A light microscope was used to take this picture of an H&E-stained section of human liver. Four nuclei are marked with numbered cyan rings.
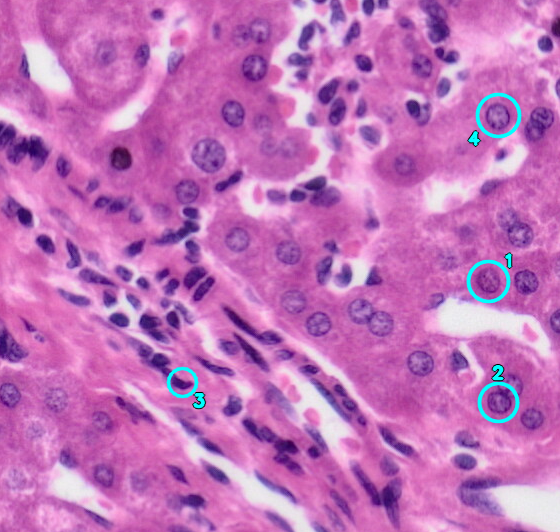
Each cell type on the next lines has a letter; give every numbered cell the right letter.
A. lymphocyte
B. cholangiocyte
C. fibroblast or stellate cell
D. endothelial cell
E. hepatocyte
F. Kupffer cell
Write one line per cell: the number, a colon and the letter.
1: E
2: E
3: C
4: E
